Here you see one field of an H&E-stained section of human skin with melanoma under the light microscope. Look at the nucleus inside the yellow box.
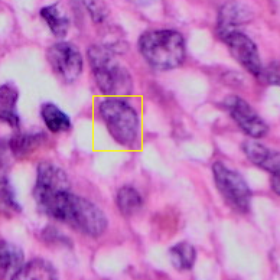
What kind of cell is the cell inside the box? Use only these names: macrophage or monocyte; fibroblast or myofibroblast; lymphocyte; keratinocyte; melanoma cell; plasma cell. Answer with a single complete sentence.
To be brief about it, the cell inside the box is a melanoma cell.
